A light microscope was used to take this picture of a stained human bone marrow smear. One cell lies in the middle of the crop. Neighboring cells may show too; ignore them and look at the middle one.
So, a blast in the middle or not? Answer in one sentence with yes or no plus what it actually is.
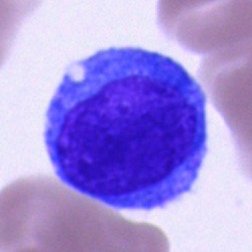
Yes, the cell at the middle is a blast.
